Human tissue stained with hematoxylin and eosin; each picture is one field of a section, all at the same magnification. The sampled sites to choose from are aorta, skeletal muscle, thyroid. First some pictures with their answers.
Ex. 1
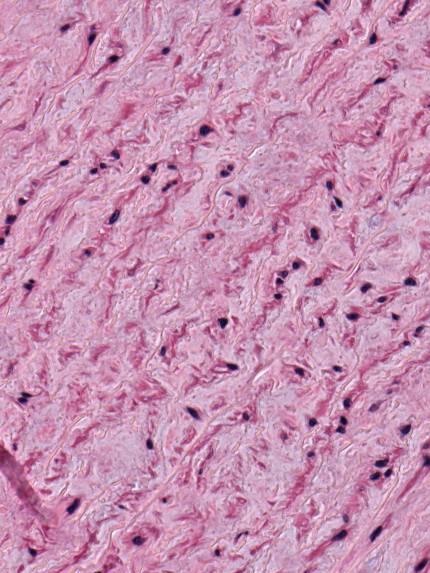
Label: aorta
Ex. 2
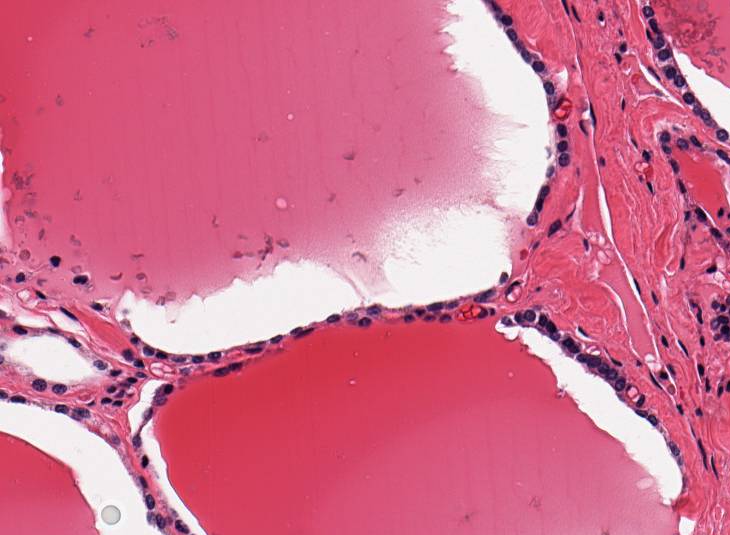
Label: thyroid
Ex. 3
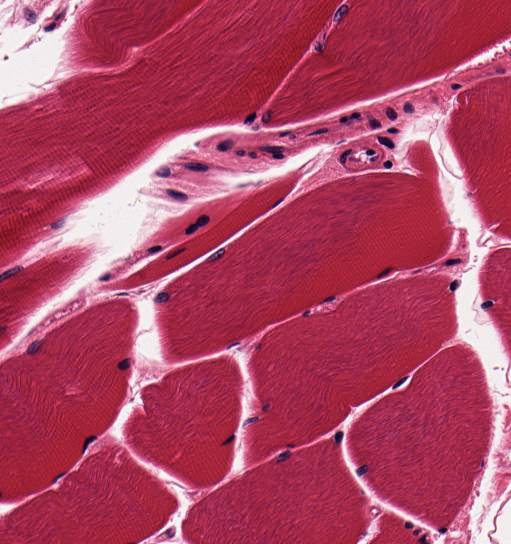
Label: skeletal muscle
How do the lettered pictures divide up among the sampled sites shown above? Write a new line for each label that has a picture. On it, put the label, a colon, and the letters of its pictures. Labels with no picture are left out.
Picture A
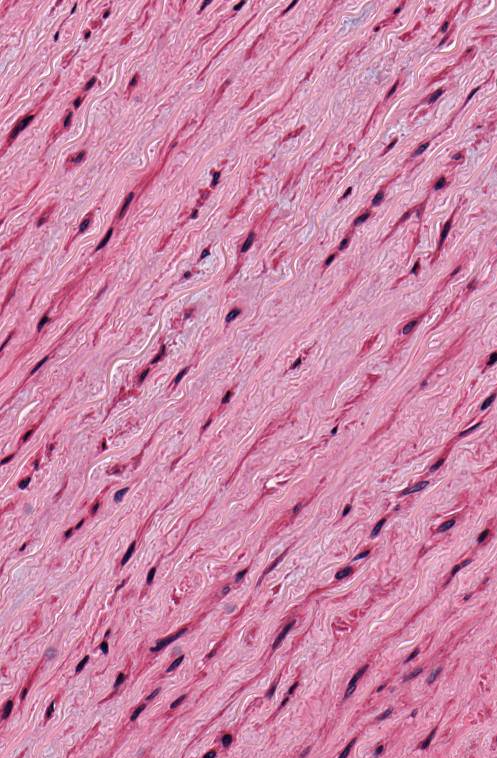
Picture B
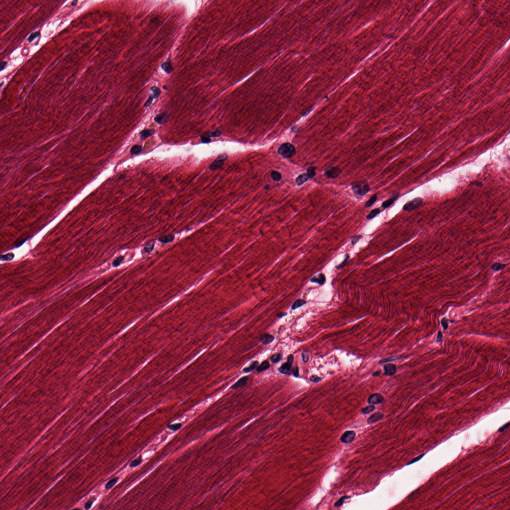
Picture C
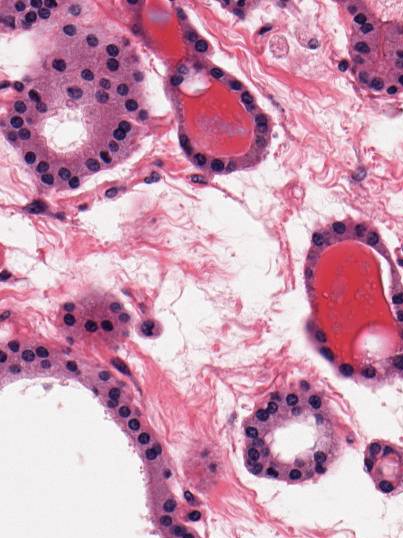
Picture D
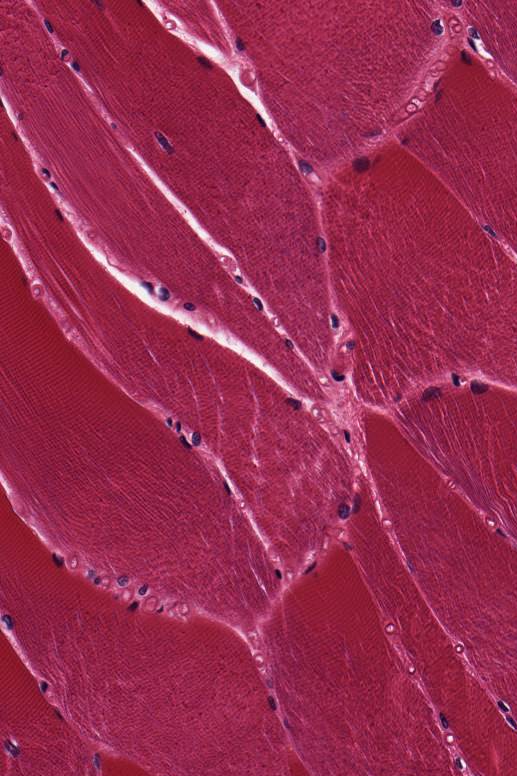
aorta: A
skeletal muscle: B, D
thyroid: C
